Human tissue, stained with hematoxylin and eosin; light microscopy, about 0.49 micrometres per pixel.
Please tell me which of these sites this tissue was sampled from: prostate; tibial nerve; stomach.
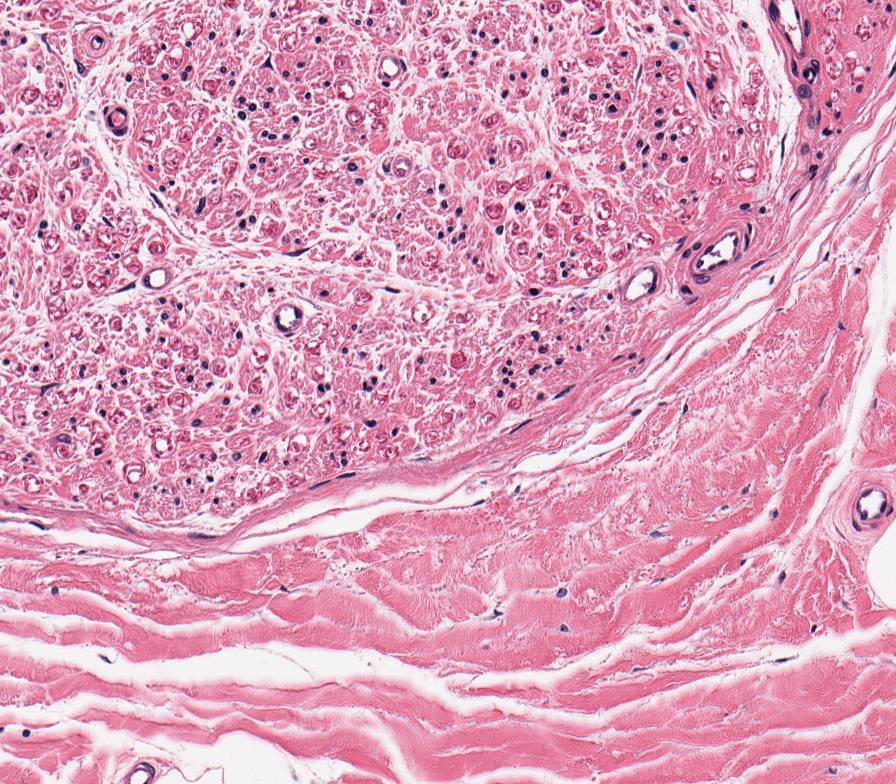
tibial nerve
